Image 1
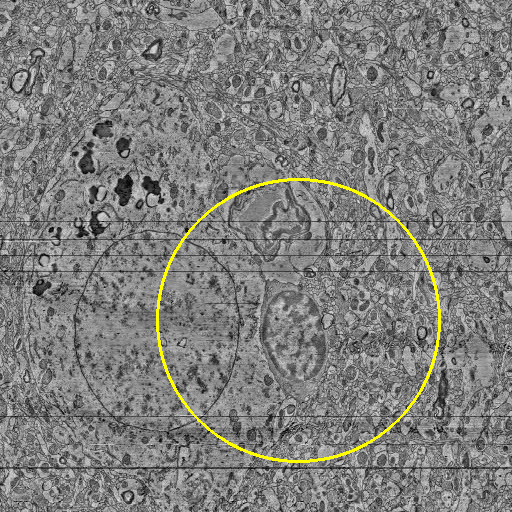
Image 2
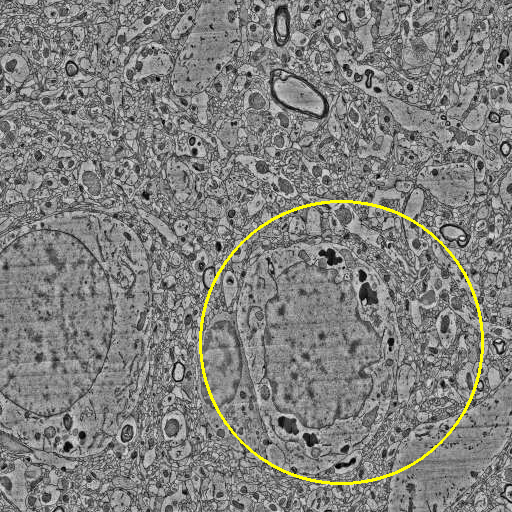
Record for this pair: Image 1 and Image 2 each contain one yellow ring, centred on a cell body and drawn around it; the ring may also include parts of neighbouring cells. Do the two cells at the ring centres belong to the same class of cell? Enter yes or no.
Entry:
no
